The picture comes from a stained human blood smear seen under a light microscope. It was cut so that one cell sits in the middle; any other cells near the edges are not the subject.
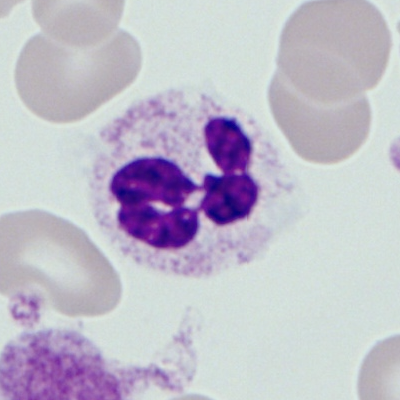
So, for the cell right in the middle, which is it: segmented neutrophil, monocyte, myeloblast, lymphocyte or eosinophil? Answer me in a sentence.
Here the centrally located cell is a segmented neutrophil.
